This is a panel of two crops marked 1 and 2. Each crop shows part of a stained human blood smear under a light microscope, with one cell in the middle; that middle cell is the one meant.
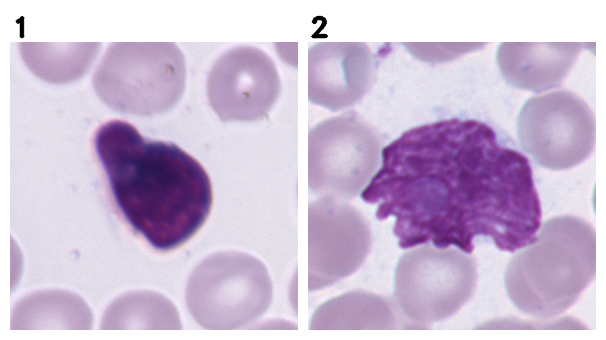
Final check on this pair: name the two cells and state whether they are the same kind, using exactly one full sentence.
Yes, both crops show smudge cells, and that holds for each one.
